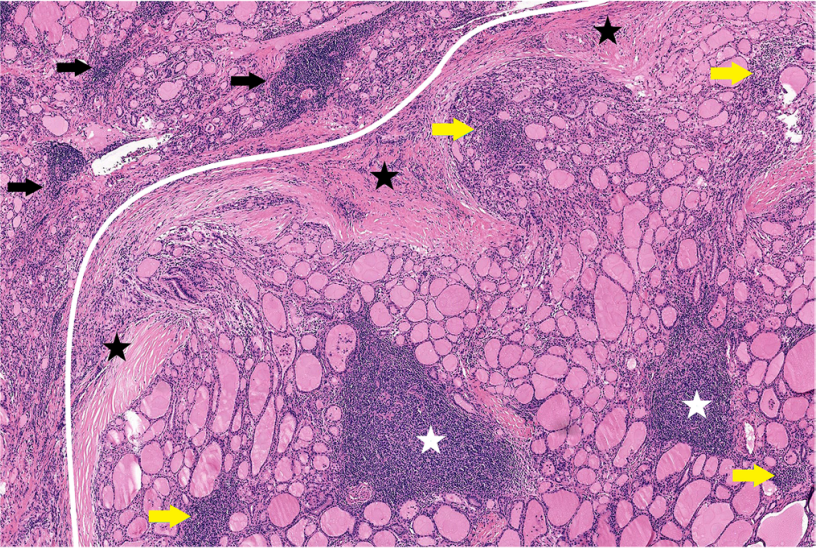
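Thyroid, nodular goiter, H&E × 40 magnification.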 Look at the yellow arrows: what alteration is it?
lymphocyte infiltration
